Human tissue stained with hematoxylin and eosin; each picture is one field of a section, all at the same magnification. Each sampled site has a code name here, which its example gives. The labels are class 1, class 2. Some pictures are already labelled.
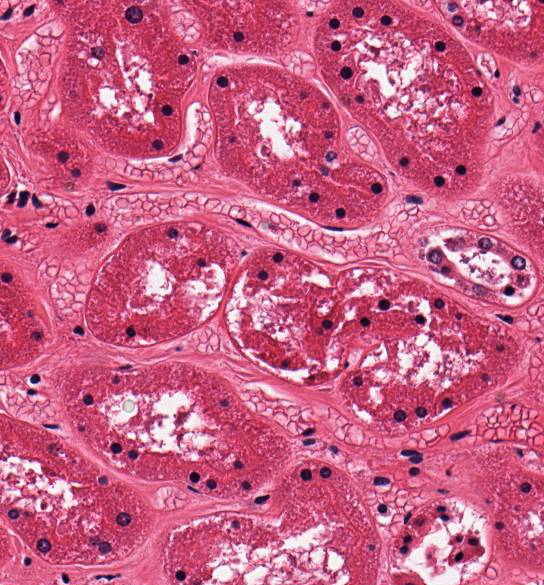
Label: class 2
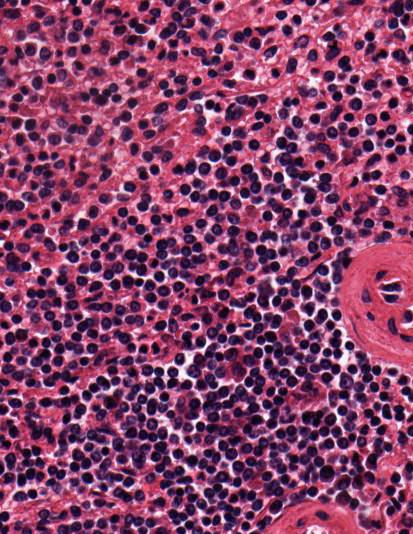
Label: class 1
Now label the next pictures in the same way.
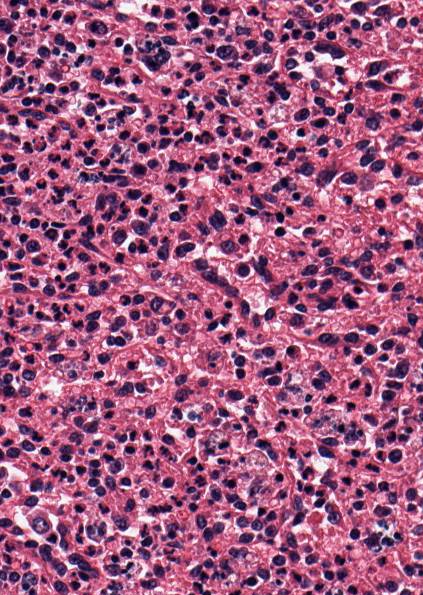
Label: class 1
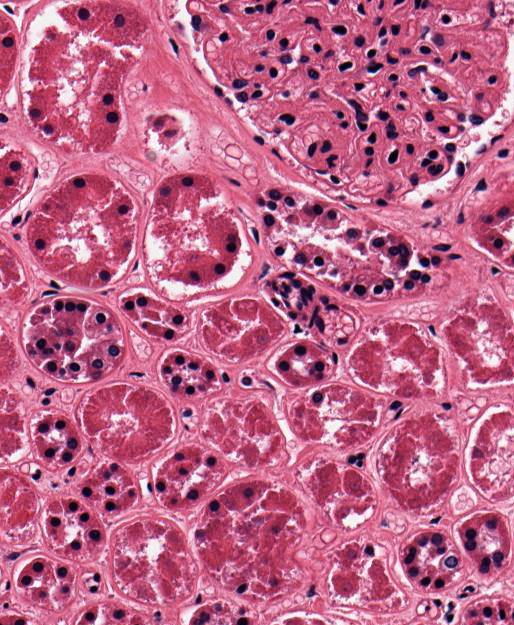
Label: class 2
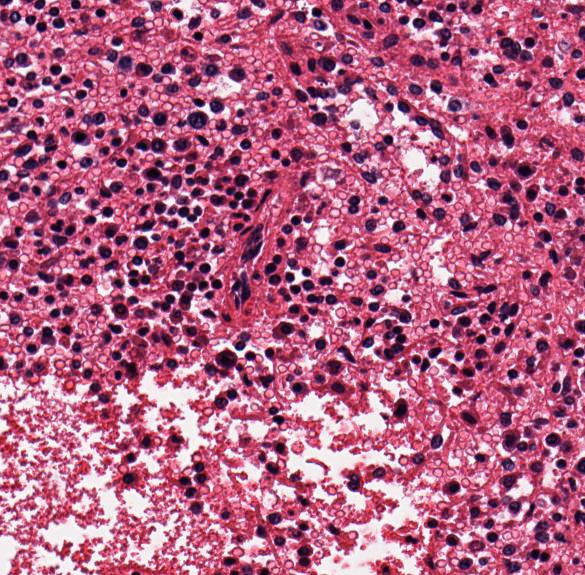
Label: class 1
